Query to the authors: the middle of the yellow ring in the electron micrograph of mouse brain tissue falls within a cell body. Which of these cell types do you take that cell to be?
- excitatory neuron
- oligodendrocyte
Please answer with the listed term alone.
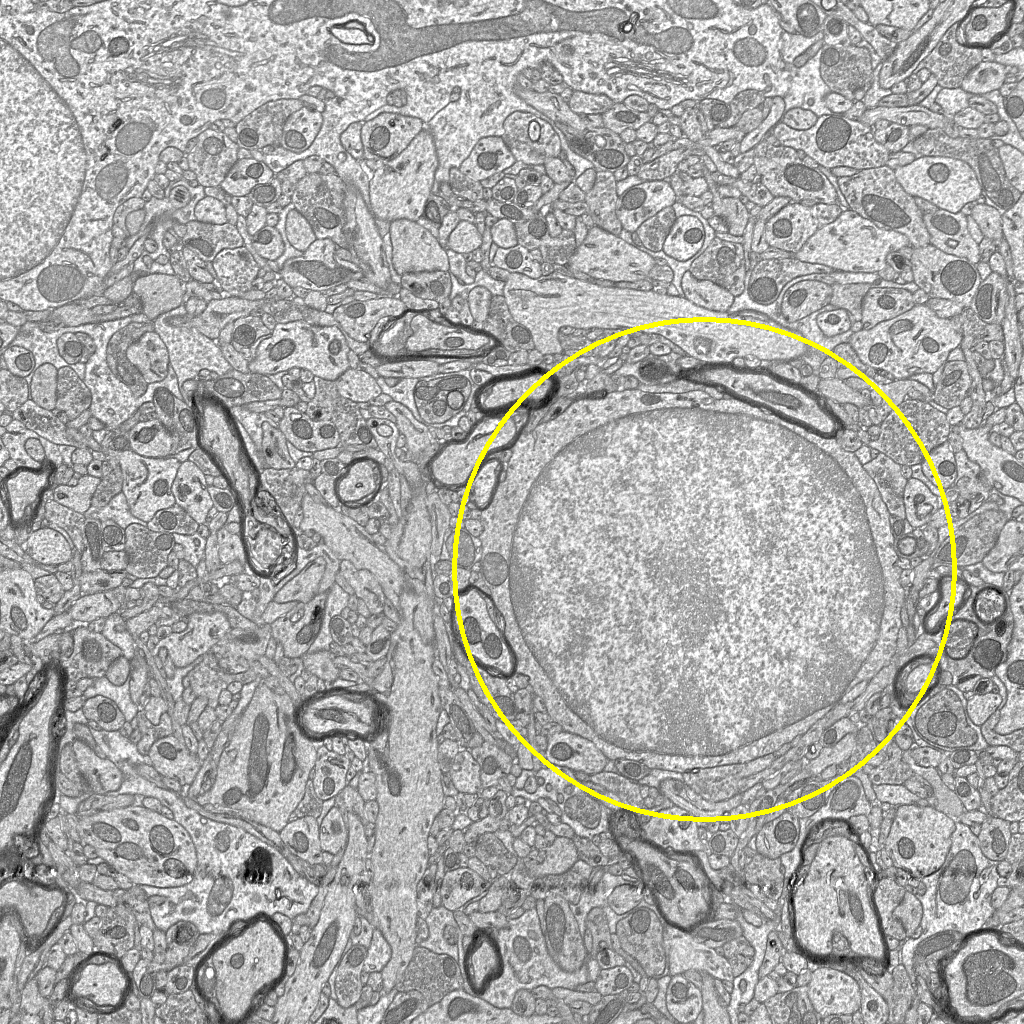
oligodendrocyte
